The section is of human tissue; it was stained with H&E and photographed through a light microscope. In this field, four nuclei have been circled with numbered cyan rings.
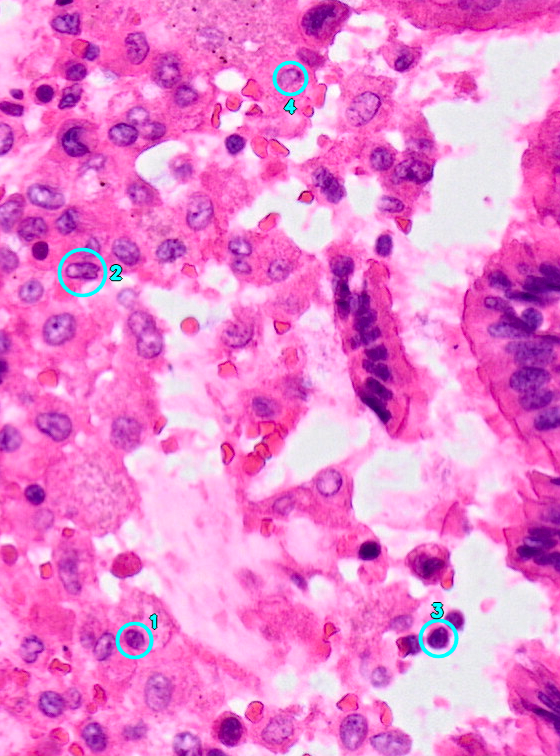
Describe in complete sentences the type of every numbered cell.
Cells 1, 2 and 4 are macrophages or monocytes. Cell 3 is a lymphocyte.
